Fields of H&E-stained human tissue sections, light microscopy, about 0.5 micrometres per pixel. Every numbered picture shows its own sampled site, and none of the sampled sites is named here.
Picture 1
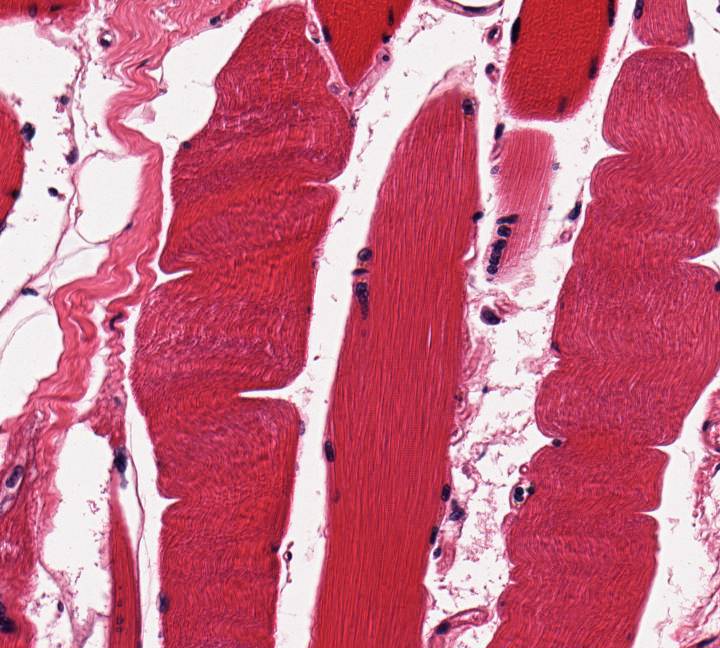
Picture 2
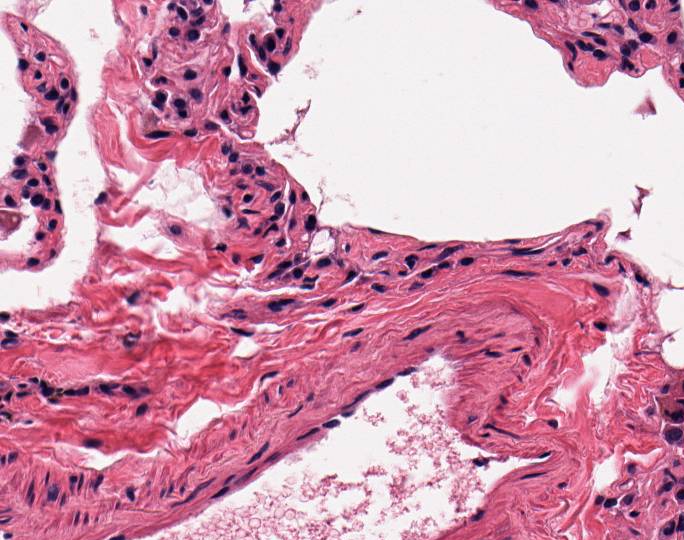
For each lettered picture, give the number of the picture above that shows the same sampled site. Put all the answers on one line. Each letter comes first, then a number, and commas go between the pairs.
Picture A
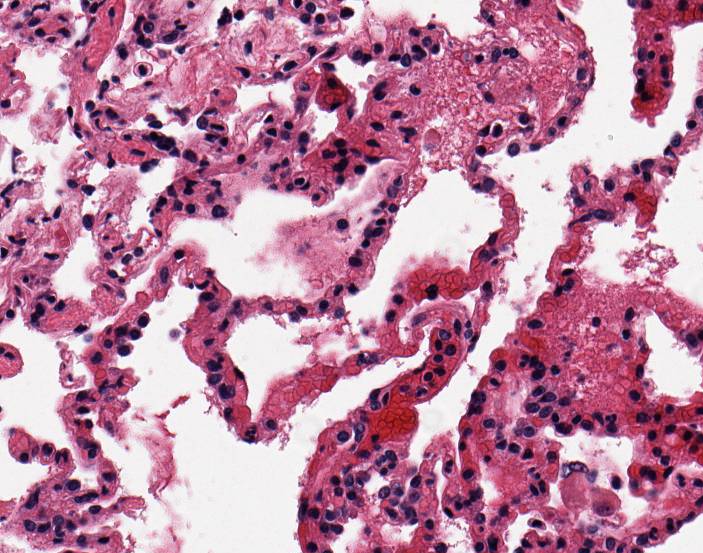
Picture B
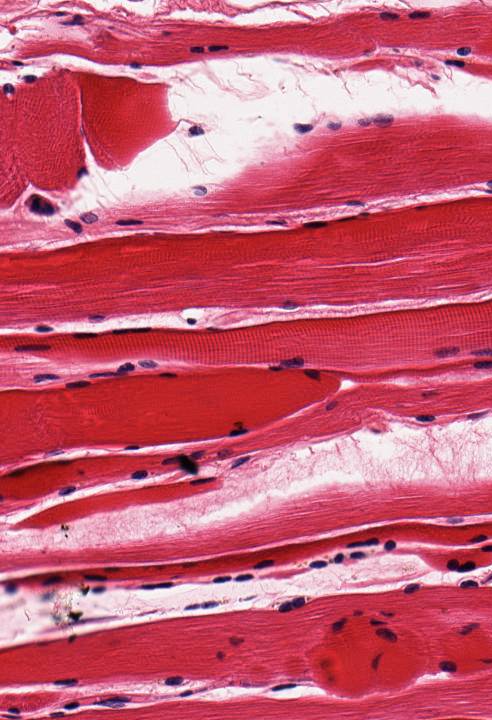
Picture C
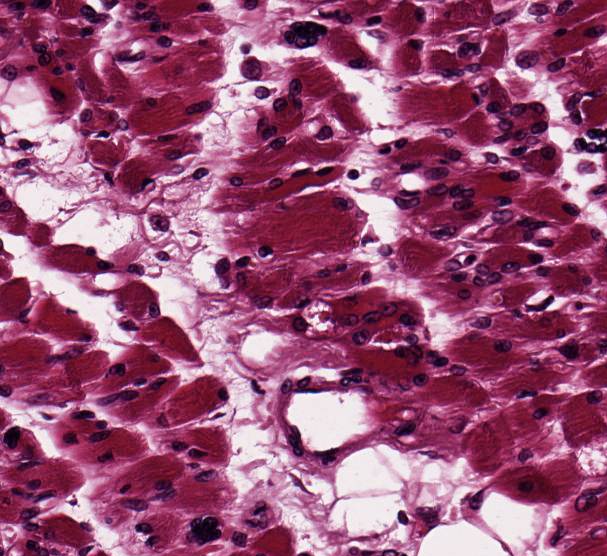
A 2, B 1, C 1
